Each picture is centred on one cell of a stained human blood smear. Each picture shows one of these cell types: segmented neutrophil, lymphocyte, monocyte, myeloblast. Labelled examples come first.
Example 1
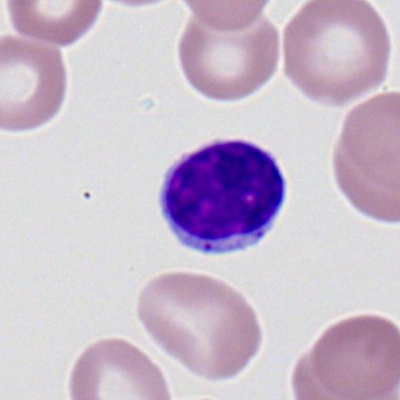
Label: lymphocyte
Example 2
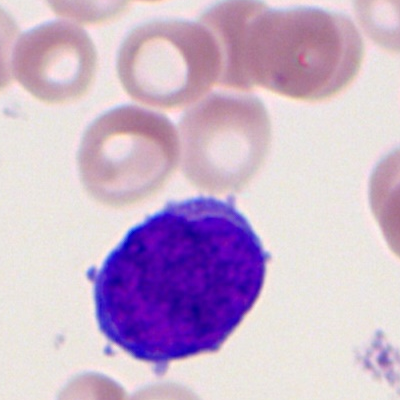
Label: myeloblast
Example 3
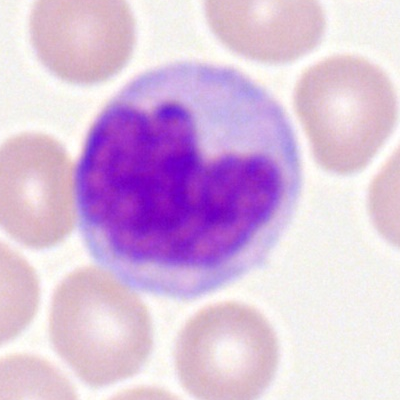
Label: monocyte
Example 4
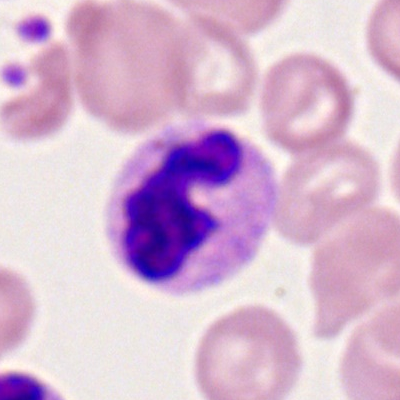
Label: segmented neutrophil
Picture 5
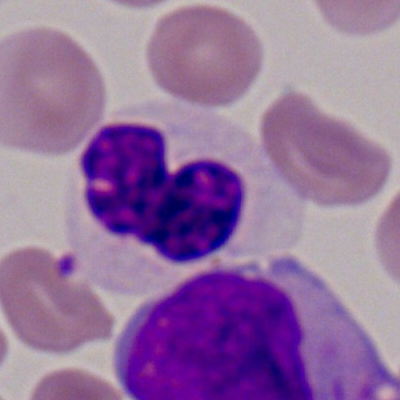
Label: segmented neutrophil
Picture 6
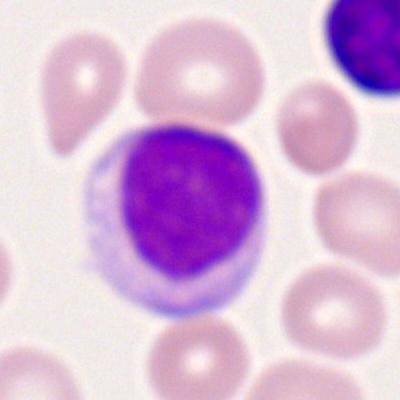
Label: lymphocyte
